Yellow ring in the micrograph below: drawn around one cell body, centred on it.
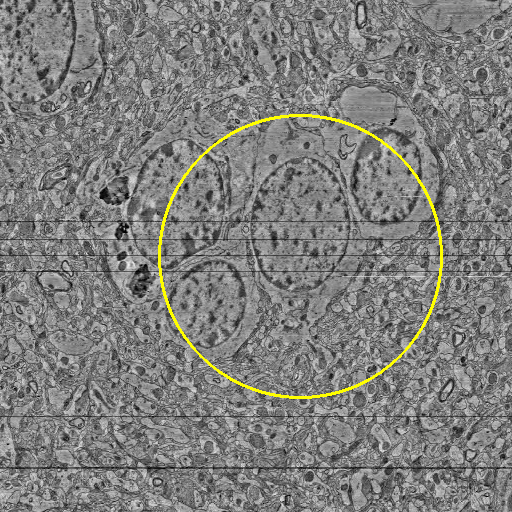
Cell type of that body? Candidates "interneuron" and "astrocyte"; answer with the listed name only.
astrocyte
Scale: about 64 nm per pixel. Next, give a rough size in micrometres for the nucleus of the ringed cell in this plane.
Roughly 9 by 6 micrometres in this plane, for the nucleus of the ringed cell.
